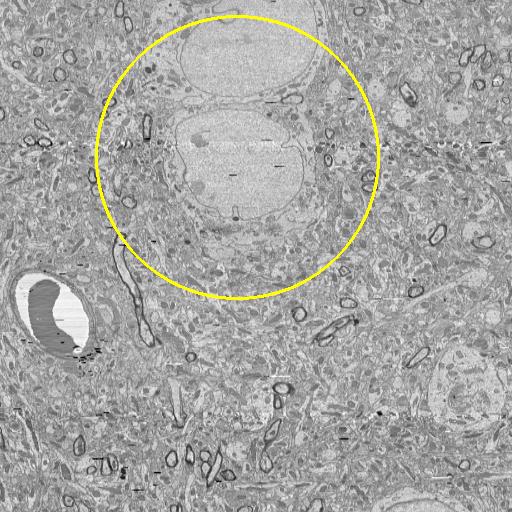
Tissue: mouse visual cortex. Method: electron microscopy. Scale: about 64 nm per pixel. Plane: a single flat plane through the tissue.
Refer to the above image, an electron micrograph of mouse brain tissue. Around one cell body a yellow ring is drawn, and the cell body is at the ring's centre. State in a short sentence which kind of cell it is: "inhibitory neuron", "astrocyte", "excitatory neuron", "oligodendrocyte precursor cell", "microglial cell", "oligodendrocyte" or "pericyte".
The centre of the ring falls on an excitatory neuron.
